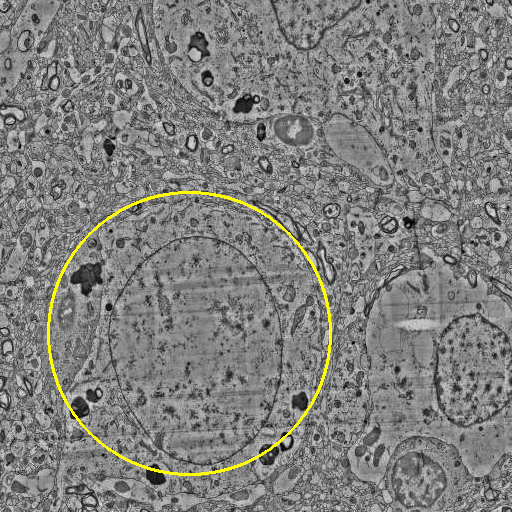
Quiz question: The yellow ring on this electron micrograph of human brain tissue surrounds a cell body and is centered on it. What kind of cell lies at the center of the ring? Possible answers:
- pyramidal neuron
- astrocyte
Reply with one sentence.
The ring's center lies on a pyramidal neuron.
